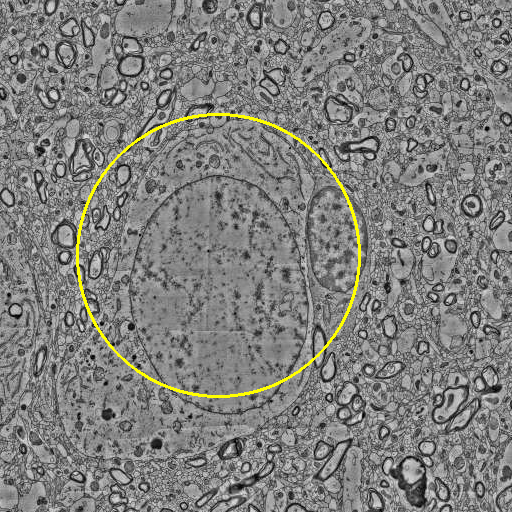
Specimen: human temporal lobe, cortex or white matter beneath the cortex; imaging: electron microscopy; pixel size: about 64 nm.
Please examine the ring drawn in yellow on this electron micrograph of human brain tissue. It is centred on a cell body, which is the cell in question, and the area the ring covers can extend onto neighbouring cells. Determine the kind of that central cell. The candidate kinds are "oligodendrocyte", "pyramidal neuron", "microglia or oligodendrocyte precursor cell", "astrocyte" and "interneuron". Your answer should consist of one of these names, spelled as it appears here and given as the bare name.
pyramidal neuron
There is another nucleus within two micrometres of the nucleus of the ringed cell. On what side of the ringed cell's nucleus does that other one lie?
The other nucleus is positioned to the upper right of it.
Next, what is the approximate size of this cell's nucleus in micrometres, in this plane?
The nucleus of the ringed cell is approximately 16 by 12 micrometres in this plane.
